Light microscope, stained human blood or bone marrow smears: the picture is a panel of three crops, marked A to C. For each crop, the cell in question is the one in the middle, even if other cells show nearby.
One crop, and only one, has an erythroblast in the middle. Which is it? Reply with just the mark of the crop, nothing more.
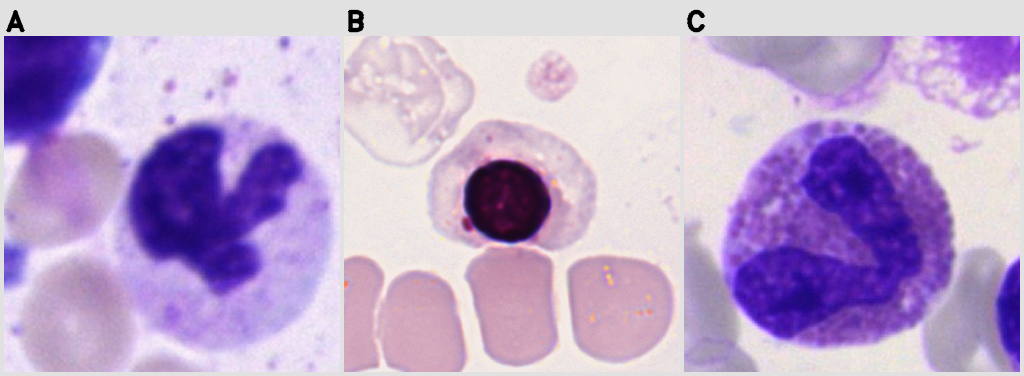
B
